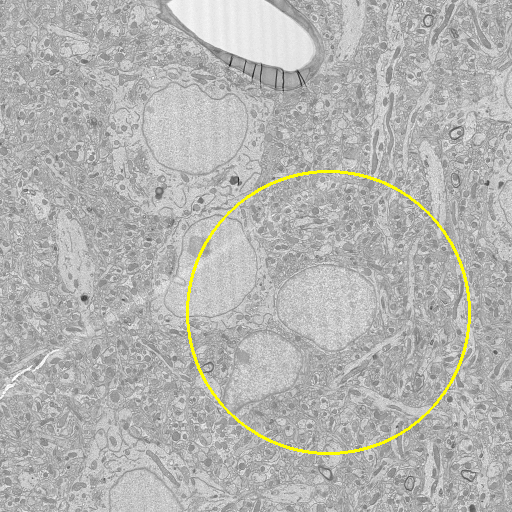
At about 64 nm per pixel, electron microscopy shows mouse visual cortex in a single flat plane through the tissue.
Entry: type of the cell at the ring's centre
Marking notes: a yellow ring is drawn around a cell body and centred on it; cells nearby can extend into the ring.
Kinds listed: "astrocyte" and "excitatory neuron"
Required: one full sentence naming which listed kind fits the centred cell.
My entry names an astrocyte as the cell whose body the yellow ring centres on.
